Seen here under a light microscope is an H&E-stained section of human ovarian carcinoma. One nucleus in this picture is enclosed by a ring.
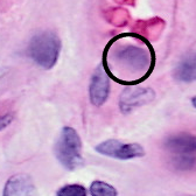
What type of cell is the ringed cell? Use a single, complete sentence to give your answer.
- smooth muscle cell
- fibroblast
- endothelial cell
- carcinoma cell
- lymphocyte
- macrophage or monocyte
Labelled by cell type, the ringed cell is an endothelial cell.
